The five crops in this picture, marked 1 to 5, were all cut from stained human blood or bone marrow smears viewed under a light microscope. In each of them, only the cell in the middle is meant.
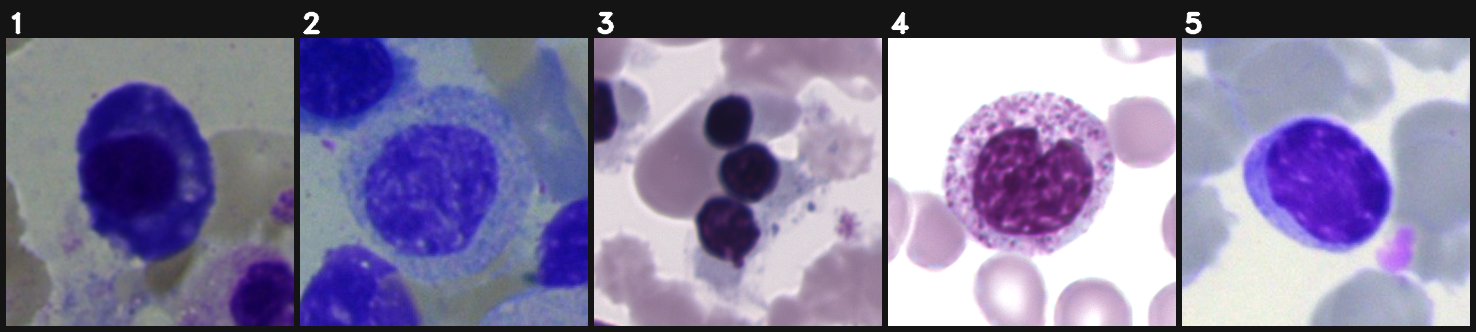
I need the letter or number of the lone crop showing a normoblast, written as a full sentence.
Crop 3 alone, of all the crops, shows a normoblast.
